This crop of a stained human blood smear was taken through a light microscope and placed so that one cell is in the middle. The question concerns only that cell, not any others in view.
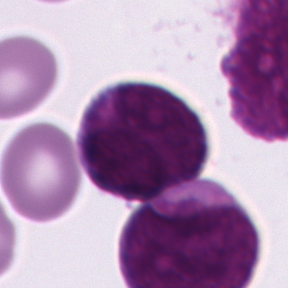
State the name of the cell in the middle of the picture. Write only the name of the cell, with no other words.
myeloblast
